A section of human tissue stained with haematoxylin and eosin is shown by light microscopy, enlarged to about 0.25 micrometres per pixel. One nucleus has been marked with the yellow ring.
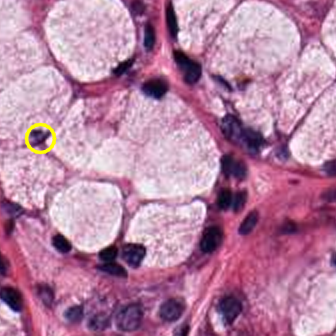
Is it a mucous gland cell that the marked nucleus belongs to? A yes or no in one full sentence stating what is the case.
Yes, the marked nucleus is the nucleus belonging to a mucous gland cell.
